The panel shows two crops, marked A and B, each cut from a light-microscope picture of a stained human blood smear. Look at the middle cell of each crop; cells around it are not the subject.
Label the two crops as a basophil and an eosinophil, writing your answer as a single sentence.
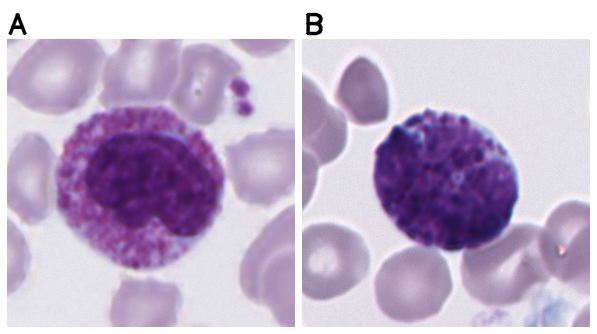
The cell centred in crop A is an eosinophil, and the one centred in crop B is a basophil.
